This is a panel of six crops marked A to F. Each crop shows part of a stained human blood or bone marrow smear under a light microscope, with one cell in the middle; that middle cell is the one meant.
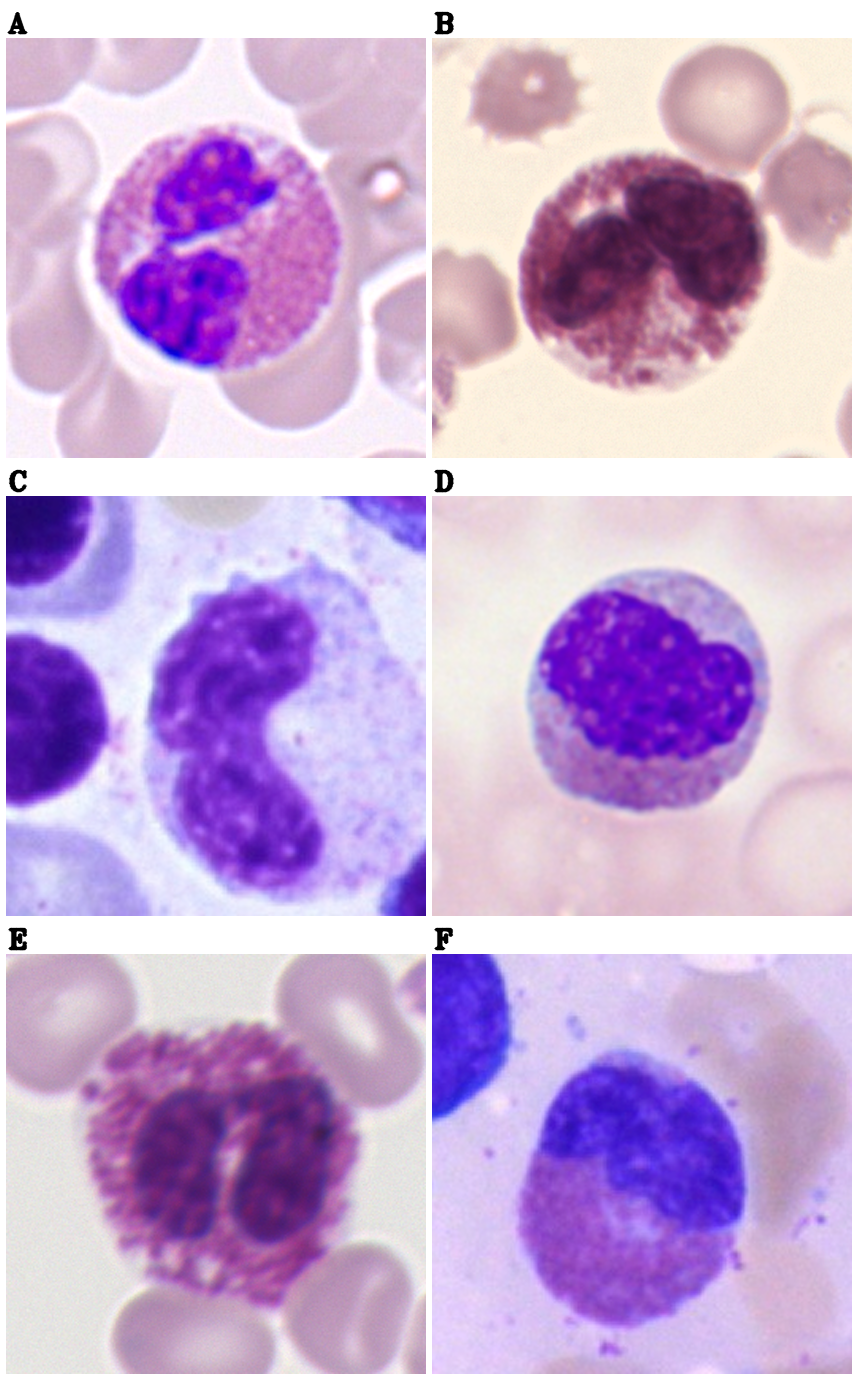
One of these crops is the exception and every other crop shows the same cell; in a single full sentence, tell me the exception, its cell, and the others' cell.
Crop C is singled out as a band neutrophil, and all of the other crops show eosinophils.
